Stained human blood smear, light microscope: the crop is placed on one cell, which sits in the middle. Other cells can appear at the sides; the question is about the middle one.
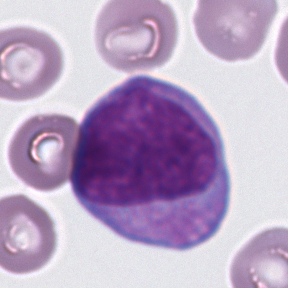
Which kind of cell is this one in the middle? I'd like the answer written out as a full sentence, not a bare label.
To answer, the cell in the center of the crop is an atypical promyelocyte.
